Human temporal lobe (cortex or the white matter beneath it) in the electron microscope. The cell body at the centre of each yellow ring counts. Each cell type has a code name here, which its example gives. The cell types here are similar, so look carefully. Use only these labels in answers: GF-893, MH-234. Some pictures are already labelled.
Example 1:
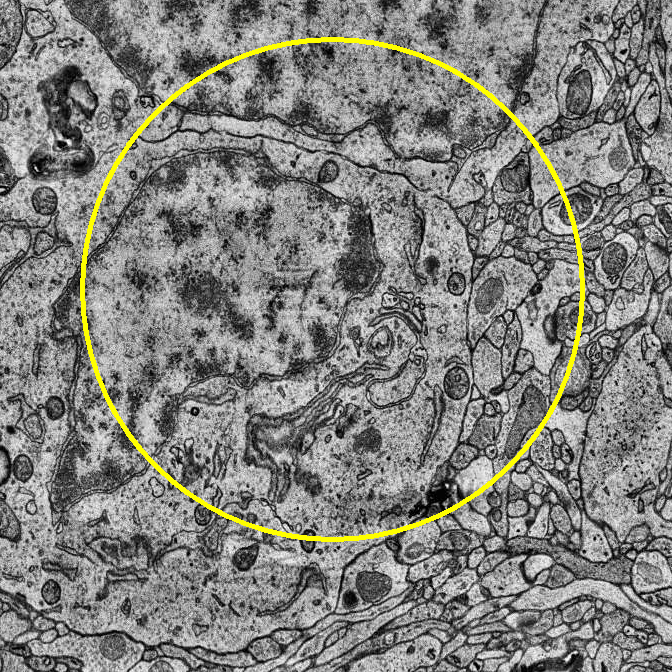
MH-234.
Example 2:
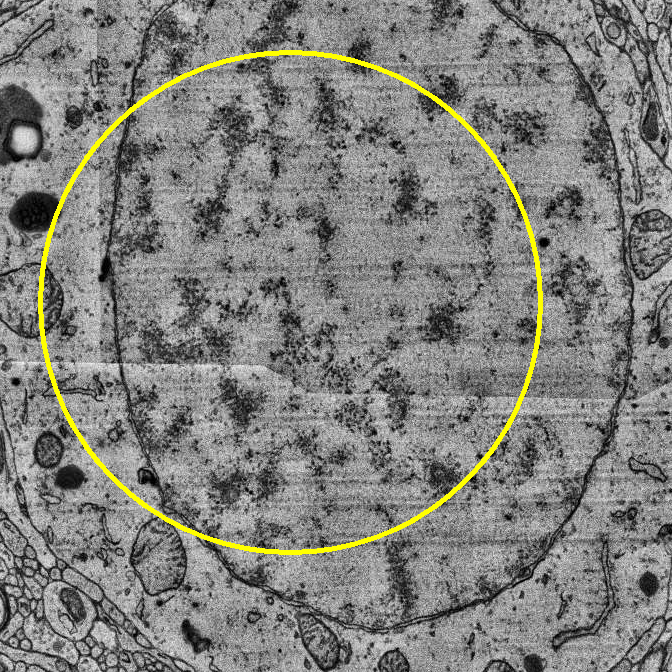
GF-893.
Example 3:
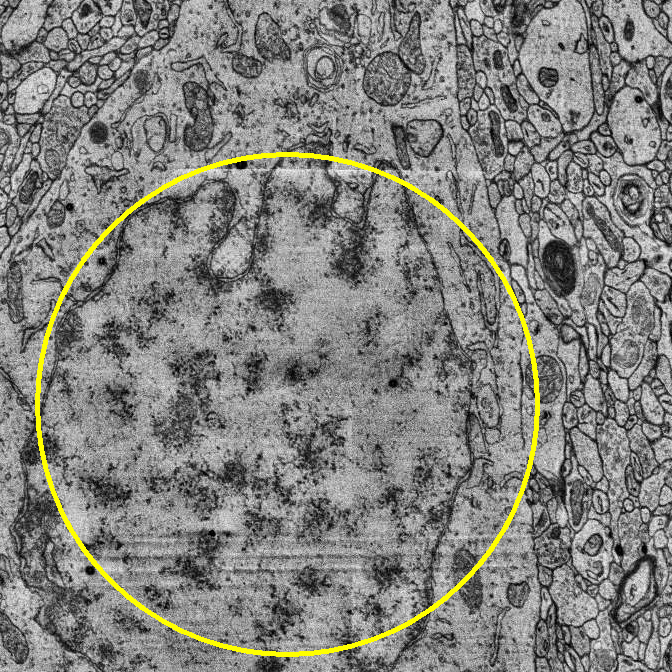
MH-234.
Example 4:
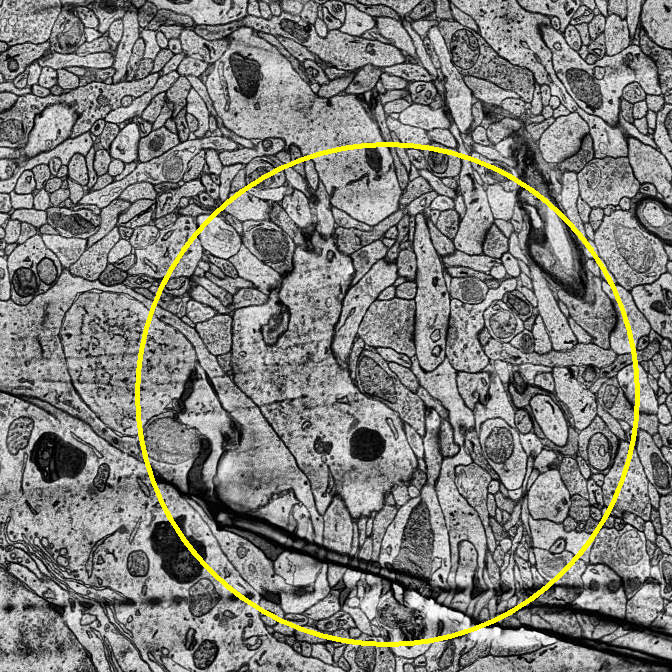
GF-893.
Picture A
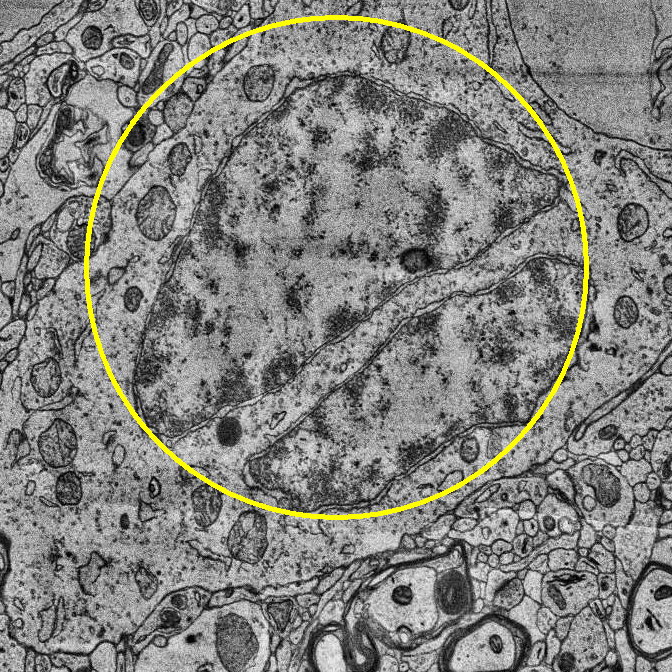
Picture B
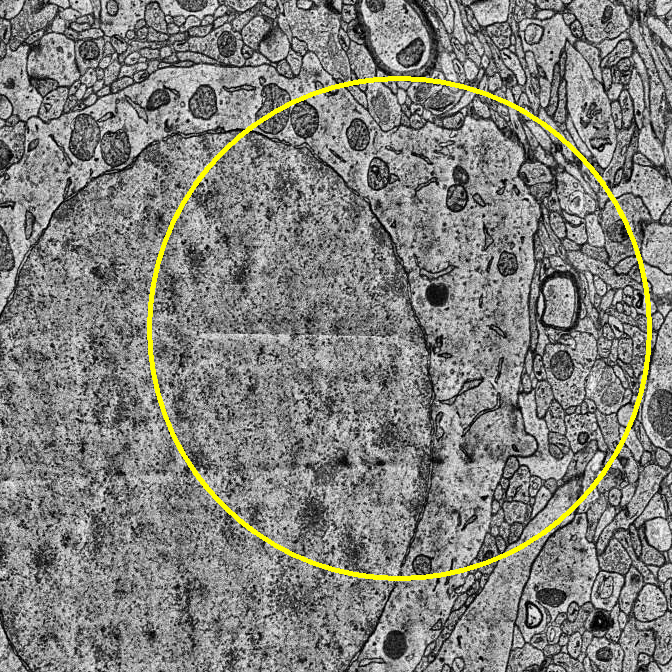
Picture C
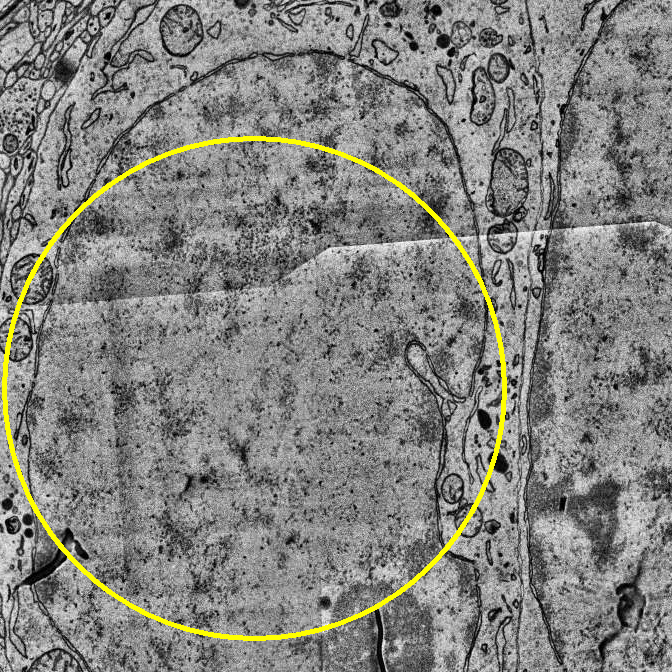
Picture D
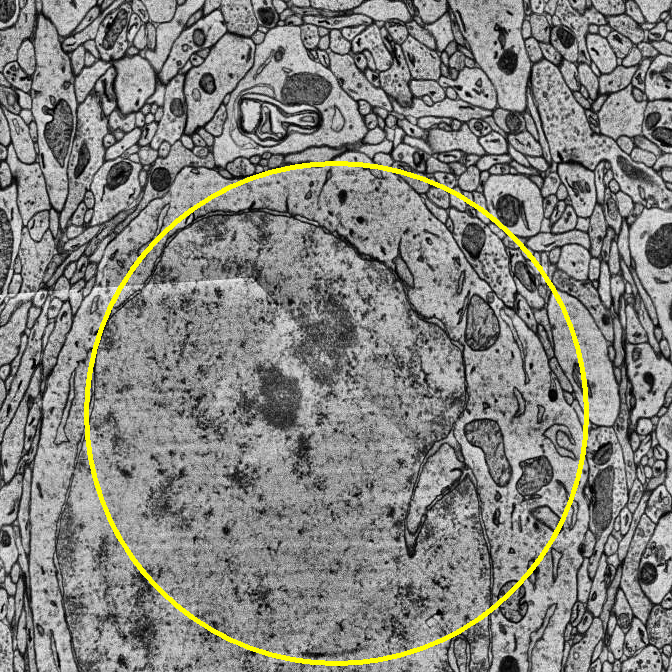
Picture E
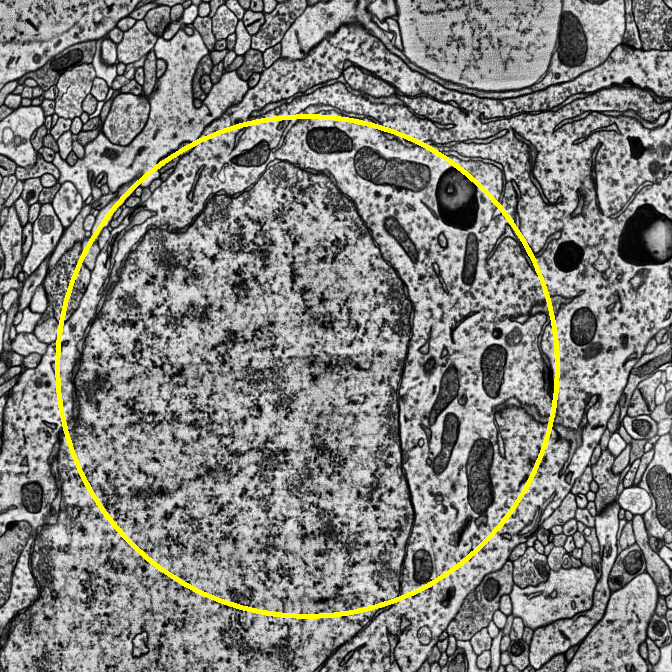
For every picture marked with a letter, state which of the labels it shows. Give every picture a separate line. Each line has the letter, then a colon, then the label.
A: MH-234.
B: GF-893.
C: GF-893.
D: MH-234.
E: MH-234.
